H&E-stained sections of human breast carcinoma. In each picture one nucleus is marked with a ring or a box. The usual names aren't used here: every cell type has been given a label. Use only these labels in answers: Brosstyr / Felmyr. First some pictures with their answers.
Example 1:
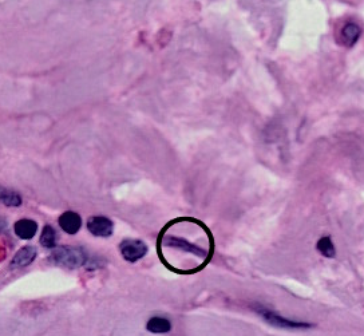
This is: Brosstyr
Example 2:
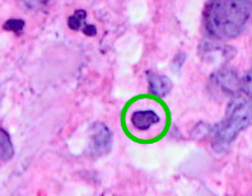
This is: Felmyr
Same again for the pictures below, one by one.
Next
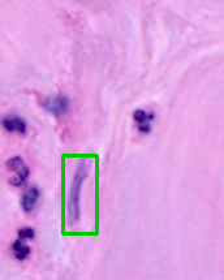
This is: Brosstyr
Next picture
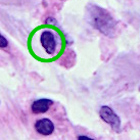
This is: Felmyr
